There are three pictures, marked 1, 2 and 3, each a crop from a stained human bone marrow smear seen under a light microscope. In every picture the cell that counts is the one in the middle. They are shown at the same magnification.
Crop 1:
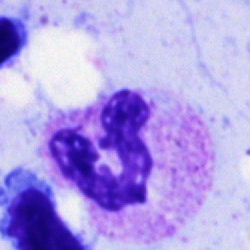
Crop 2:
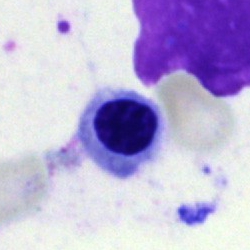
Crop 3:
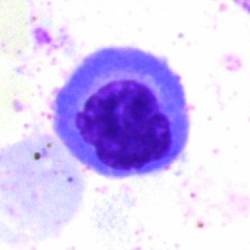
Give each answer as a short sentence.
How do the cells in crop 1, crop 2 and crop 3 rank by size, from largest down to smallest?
From the largest down, the order is 1, 3, 2.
